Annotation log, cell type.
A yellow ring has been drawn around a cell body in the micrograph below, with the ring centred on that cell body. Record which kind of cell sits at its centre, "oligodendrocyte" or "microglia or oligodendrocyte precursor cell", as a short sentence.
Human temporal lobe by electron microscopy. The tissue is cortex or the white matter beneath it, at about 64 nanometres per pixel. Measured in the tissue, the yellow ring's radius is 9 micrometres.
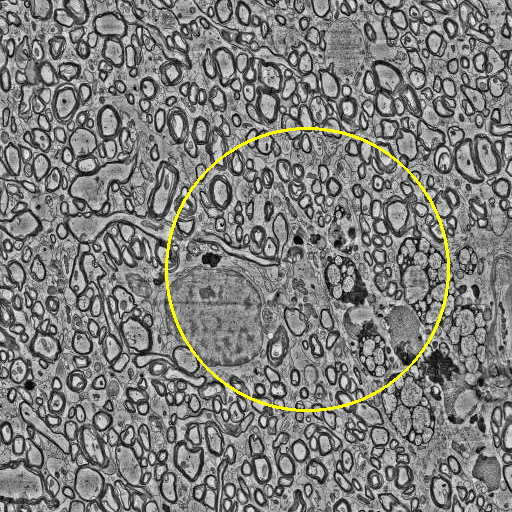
The cell at the centre of this ring is an oligodendrocyte.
